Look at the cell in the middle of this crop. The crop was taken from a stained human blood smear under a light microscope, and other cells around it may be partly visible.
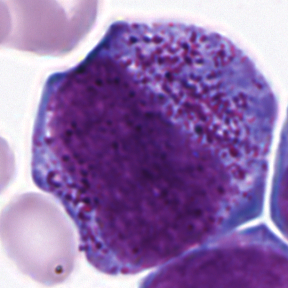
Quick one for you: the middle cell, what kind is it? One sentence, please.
In the crop, the cell of interest at the centre is a promyelocyte.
